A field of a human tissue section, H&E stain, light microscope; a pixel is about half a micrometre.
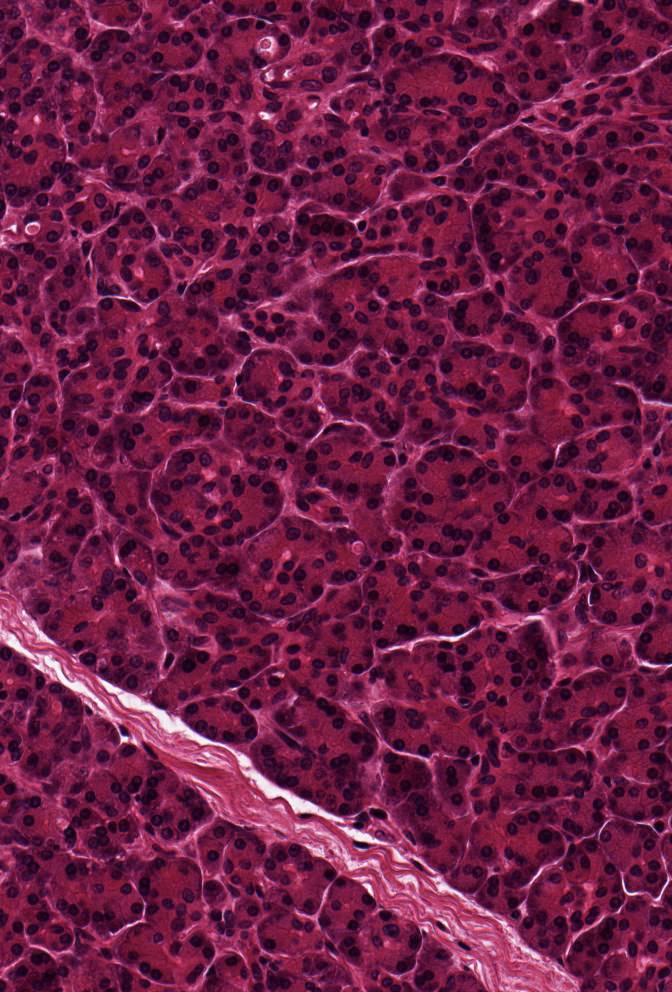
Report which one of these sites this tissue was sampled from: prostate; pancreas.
pancreas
